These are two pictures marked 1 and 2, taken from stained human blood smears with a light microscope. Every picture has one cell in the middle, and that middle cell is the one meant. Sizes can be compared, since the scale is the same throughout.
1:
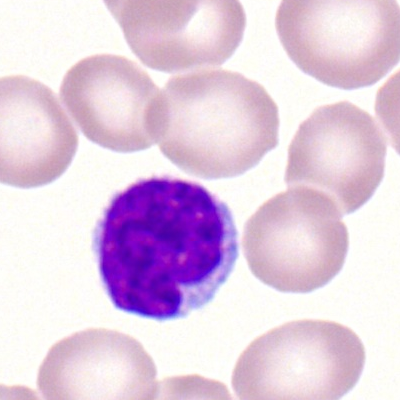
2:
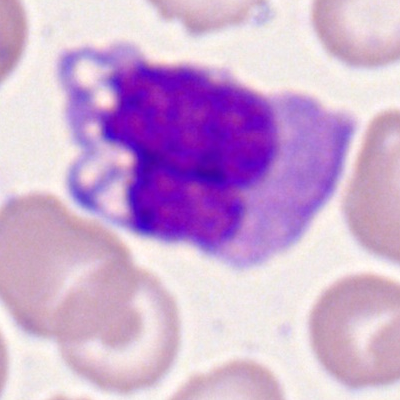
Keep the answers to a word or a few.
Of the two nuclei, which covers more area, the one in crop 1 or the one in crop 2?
2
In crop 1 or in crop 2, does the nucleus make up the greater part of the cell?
1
